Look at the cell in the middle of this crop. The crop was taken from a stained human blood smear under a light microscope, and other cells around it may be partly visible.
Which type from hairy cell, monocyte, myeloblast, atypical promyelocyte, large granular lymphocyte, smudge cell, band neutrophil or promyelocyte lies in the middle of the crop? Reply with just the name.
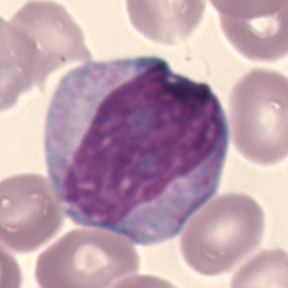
atypical promyelocyte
